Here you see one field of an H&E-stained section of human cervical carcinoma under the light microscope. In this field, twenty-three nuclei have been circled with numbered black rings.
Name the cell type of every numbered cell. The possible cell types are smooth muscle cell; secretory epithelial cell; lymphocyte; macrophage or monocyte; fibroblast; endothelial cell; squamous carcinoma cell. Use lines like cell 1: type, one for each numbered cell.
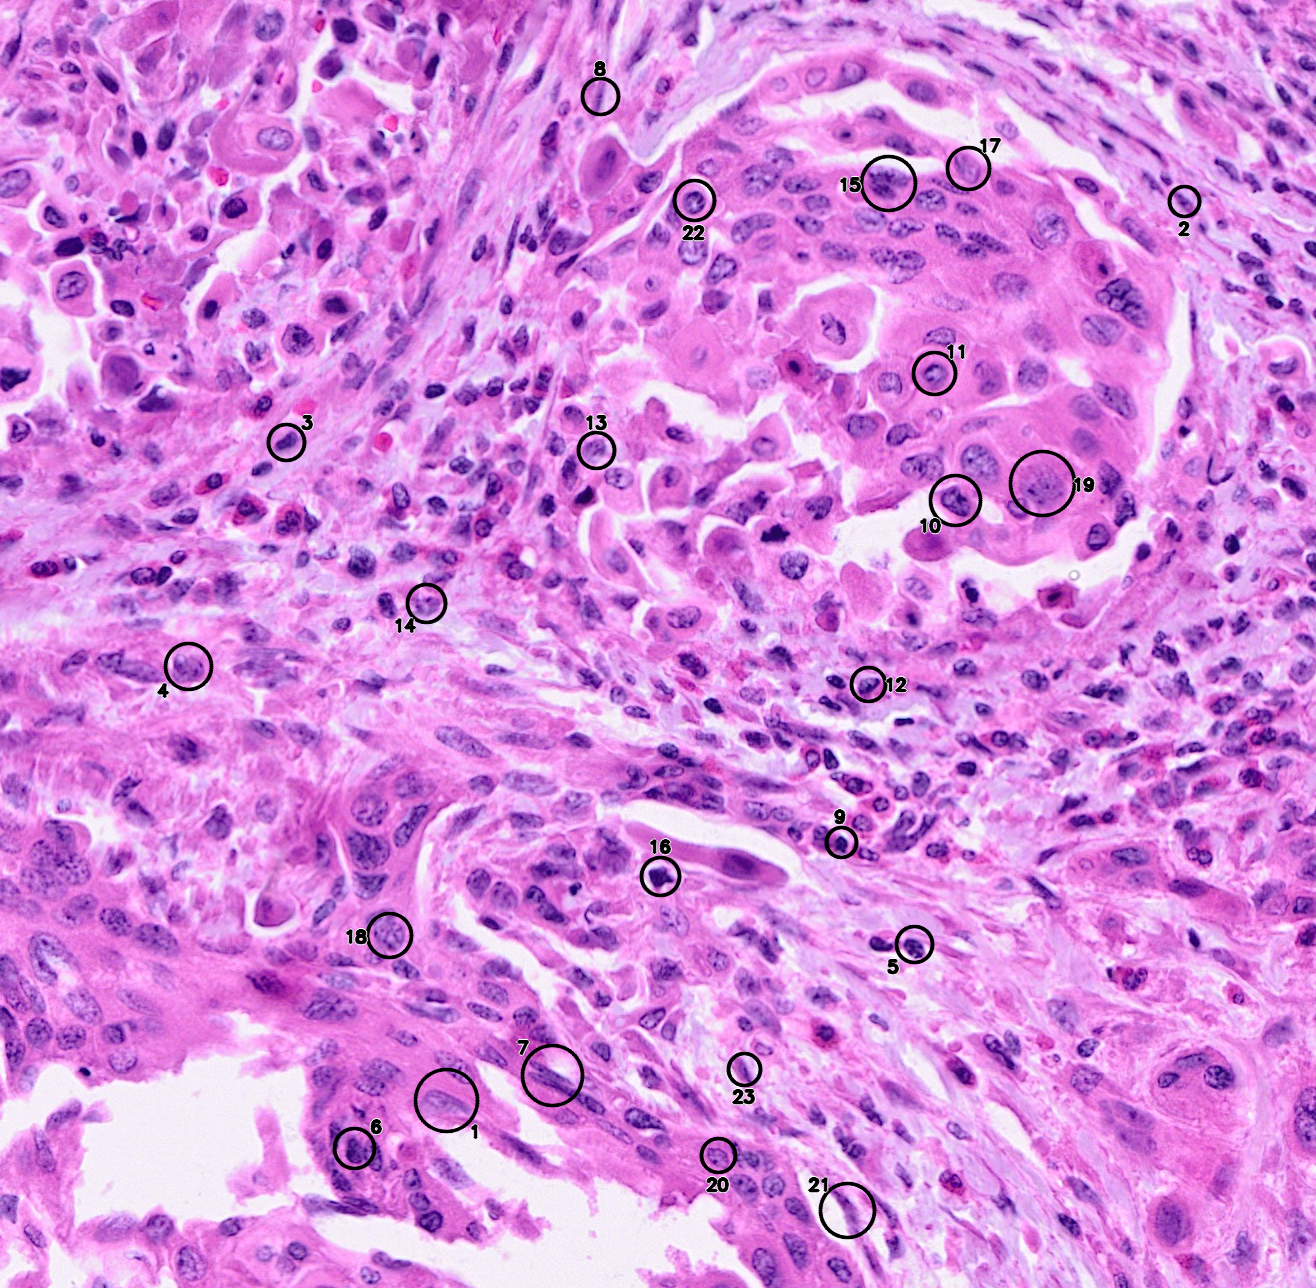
cell 1: squamous carcinoma cell
cell 2: fibroblast
cell 3: lymphocyte
cell 4: macrophage or monocyte
cell 5: lymphocyte
cell 6: squamous carcinoma cell
cell 7: squamous carcinoma cell
cell 8: fibroblast
cell 9: lymphocyte
cell 10: squamous carcinoma cell
cell 11: squamous carcinoma cell
cell 12: lymphocyte
cell 13: macrophage or monocyte
cell 14: macrophage or monocyte
cell 15: squamous carcinoma cell
cell 16: lymphocyte
cell 17: squamous carcinoma cell
cell 18: squamous carcinoma cell
cell 19: squamous carcinoma cell
cell 20: squamous carcinoma cell
cell 21: fibroblast
cell 22: squamous carcinoma cell
cell 23: fibroblast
